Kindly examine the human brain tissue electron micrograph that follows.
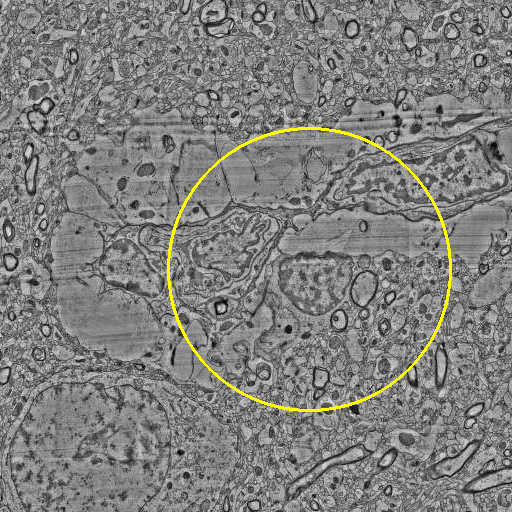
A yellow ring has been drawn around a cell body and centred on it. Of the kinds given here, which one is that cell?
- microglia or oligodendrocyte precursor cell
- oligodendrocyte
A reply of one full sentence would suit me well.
The micrograph's ringed cell, the one at the ring's centre, is an oligodendrocyte.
